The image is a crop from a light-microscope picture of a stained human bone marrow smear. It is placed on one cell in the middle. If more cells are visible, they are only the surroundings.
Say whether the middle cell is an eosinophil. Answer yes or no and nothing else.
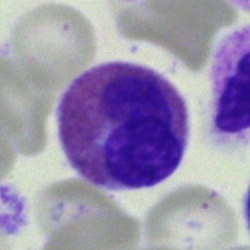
yes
